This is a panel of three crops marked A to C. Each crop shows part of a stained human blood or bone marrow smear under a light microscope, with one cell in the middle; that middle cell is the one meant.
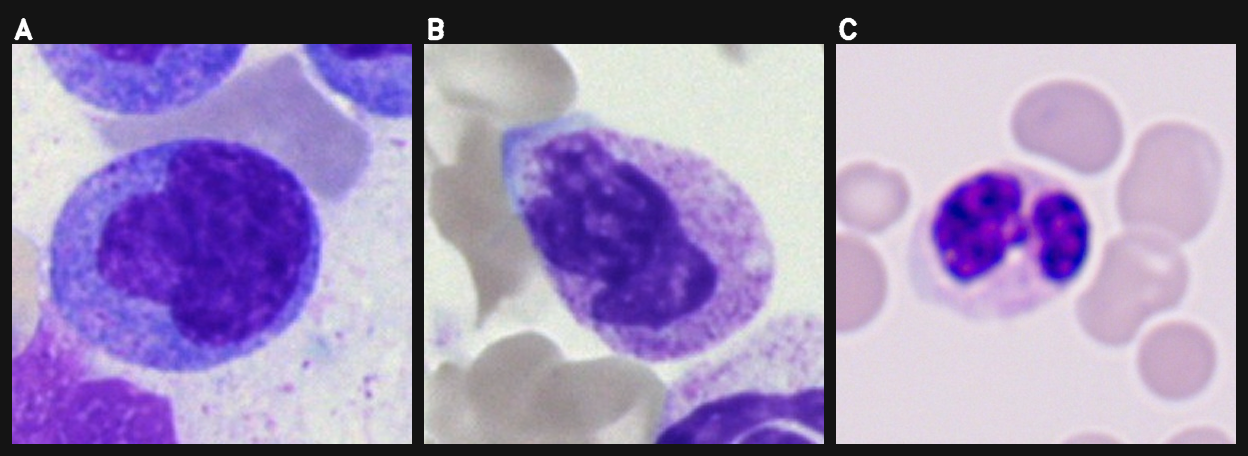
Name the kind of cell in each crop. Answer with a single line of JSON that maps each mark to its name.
{"A": "monocyte", "B": "segmented neutrophil", "C": "segmented neutrophil"}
